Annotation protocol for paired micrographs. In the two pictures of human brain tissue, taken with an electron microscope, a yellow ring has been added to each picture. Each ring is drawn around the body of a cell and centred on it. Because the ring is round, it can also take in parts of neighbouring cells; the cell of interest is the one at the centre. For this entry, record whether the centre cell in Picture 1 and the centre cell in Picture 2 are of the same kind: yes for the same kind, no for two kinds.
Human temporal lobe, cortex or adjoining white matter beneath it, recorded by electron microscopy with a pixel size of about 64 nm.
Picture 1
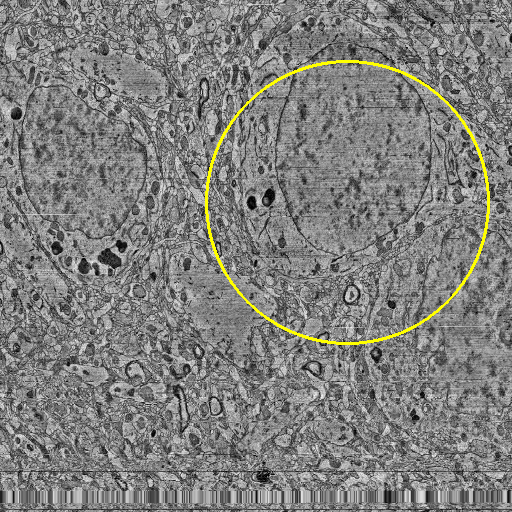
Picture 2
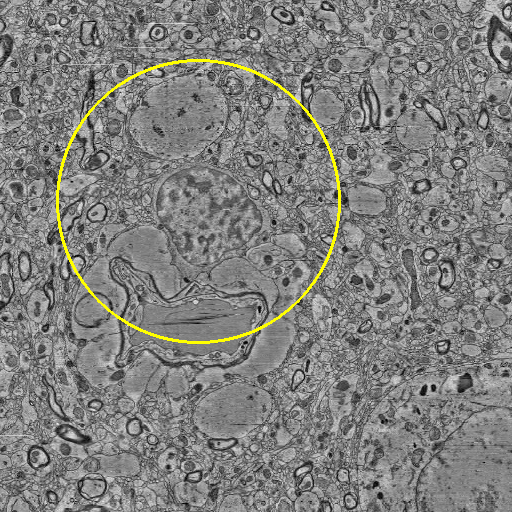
no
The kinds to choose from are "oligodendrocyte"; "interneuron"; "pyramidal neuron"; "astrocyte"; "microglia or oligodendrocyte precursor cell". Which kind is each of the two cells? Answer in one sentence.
Of the two, the first cell is a pyramidal neuron and the second cell is an oligodendrocyte.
